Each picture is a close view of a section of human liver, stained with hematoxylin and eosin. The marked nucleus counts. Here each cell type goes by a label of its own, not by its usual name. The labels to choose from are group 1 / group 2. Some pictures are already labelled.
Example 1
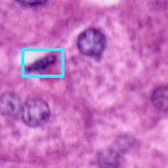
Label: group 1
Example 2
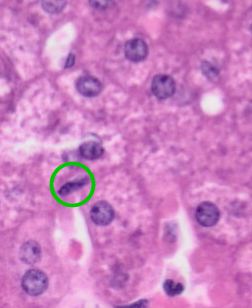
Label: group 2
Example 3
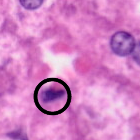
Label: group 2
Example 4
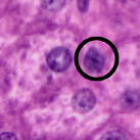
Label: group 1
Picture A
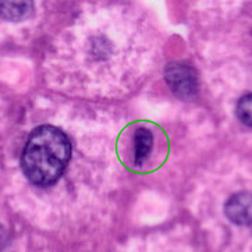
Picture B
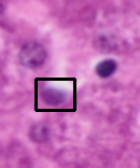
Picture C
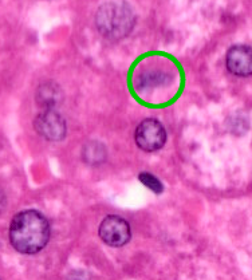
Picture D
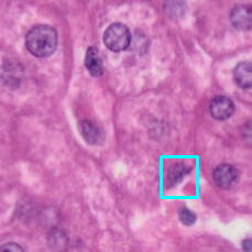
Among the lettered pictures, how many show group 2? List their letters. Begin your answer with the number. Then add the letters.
Count: 1 (A)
